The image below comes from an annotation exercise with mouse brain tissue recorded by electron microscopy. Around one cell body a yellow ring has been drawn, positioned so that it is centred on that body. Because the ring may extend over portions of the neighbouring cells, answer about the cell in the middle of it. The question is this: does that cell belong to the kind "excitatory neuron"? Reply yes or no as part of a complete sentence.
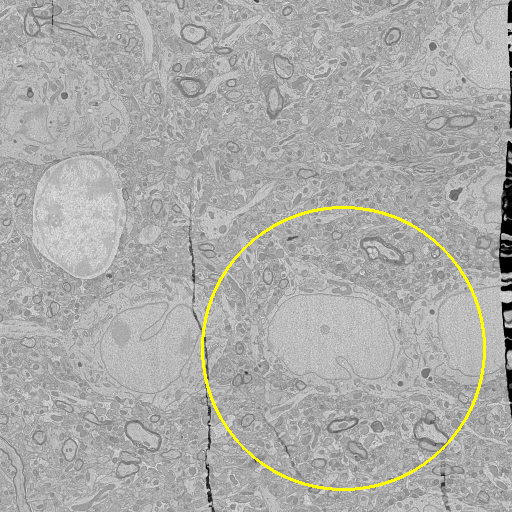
Yes, in the image the cell in the middle of the ring is of the kind asked about.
